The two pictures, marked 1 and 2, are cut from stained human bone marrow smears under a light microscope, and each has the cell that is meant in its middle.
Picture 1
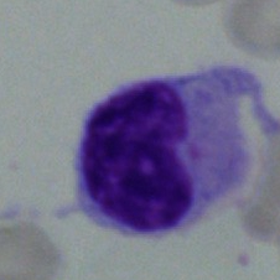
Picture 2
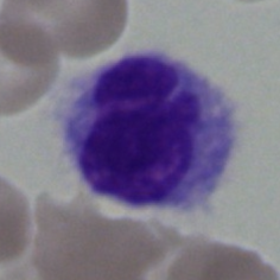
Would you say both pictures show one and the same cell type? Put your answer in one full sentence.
No; the cell in picture 1 is a hairy cell, while the one in picture 2 is a monocyte.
